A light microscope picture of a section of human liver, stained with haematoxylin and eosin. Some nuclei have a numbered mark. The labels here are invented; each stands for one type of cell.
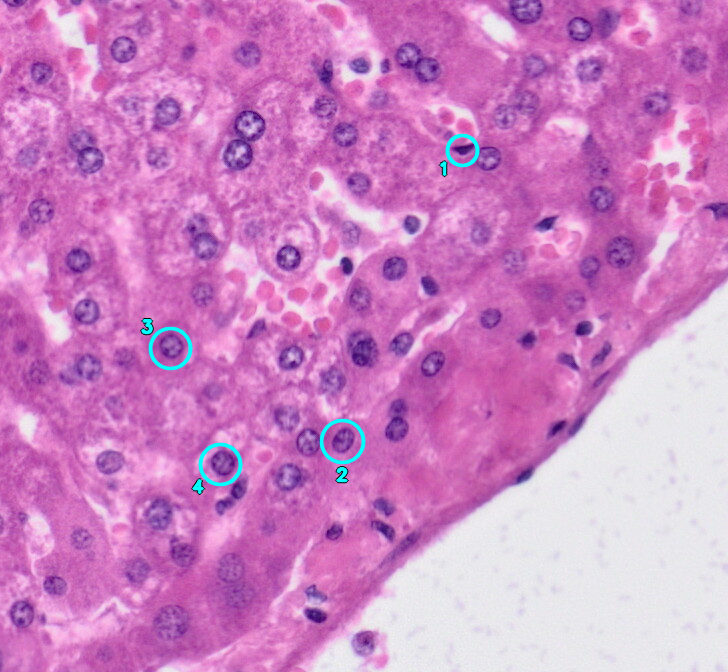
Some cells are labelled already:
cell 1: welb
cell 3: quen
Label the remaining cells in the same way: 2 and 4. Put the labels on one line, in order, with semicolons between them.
quen; quen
